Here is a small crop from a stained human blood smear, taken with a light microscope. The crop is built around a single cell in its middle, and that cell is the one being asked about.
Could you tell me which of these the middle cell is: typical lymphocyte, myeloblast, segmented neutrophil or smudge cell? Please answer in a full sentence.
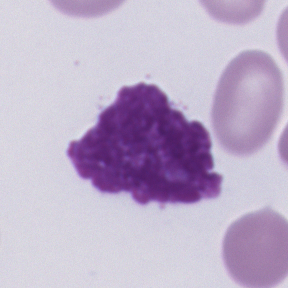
The centered cell in this crop is a smudge cell.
